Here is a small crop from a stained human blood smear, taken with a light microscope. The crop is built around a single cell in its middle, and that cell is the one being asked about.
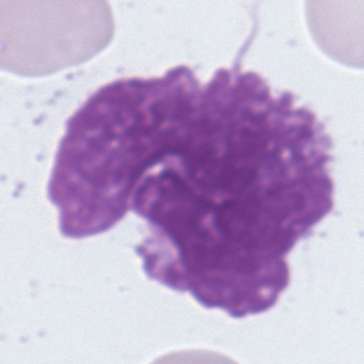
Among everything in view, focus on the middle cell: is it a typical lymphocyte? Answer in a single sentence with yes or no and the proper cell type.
No, the centrally placed cell is a smudge cell, not a typical lymphocyte.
